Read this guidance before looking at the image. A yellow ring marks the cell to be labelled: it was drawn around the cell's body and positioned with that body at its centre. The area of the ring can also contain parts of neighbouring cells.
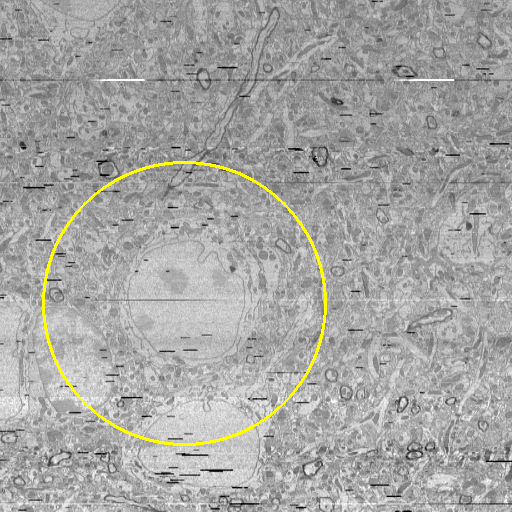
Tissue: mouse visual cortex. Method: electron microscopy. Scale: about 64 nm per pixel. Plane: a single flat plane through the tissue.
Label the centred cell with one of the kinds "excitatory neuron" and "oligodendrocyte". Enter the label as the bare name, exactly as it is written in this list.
excitatory neuron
